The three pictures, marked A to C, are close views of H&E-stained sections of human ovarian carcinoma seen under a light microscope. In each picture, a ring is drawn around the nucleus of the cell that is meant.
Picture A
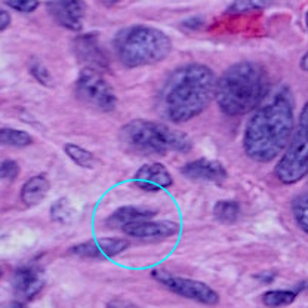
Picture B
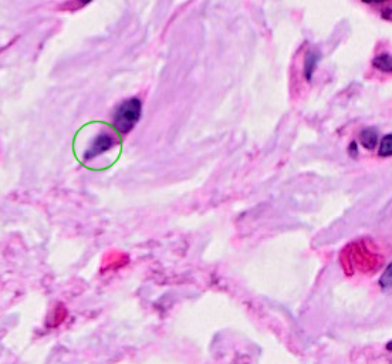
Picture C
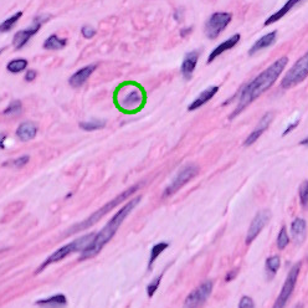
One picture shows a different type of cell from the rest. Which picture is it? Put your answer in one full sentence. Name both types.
Unlike the rest, which show fibroblasts, picture C shows a smooth muscle cell.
